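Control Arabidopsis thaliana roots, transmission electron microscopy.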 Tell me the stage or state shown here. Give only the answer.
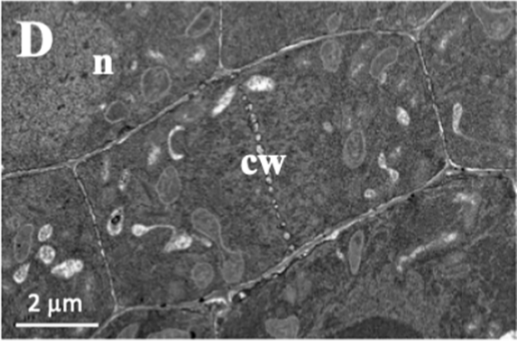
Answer: Finishing dividing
